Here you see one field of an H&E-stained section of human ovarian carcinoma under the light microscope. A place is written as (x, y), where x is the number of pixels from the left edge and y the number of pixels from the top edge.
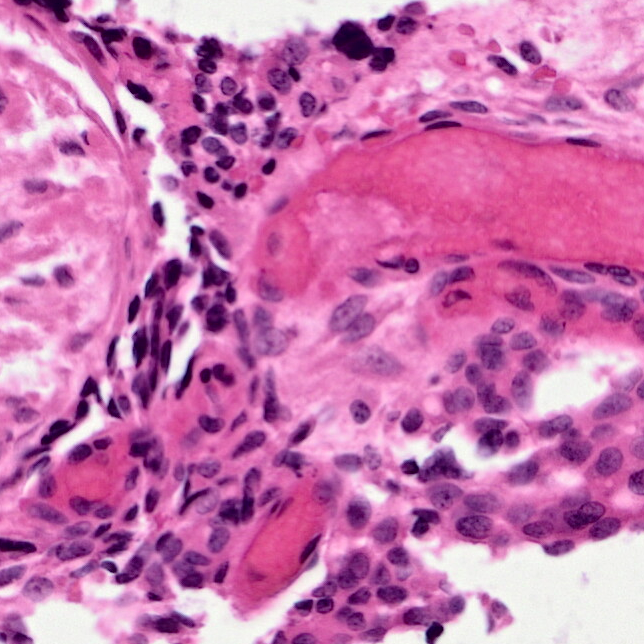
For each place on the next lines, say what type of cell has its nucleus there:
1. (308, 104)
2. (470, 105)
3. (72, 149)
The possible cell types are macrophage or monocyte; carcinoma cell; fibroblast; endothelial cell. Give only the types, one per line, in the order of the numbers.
macrophage or monocyte
fibroblast
fibroblast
